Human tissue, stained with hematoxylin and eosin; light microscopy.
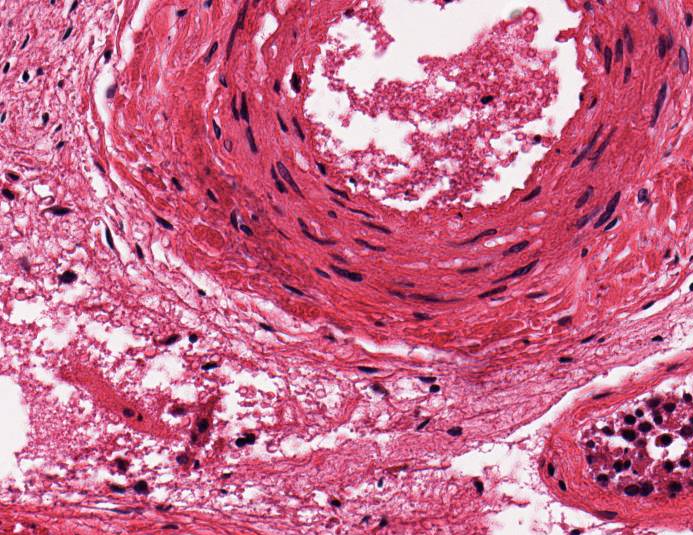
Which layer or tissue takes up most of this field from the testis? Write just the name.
blood vessel wall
